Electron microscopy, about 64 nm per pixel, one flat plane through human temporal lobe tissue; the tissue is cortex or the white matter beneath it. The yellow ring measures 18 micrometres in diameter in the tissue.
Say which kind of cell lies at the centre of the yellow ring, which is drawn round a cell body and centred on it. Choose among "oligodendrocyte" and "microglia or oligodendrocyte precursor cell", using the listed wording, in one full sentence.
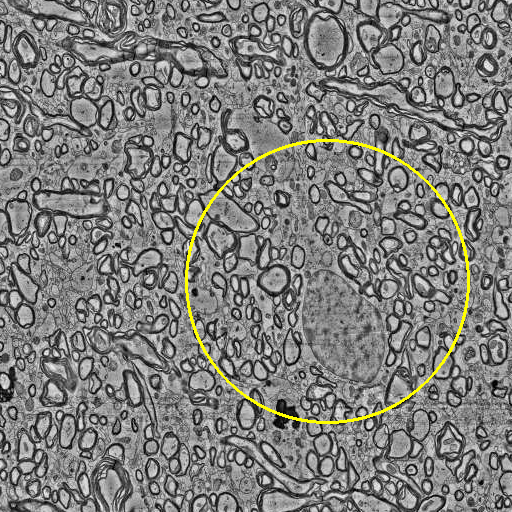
Going by the list, the cell at the yellow ring's centre is a microglial cell or oligodendrocyte precursor cell.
